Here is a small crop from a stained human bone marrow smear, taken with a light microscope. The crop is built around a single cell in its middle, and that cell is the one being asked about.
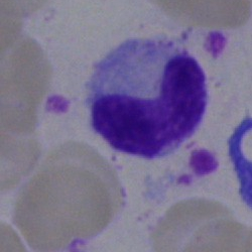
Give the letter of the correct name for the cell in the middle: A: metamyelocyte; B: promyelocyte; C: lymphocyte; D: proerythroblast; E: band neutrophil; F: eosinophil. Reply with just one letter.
E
